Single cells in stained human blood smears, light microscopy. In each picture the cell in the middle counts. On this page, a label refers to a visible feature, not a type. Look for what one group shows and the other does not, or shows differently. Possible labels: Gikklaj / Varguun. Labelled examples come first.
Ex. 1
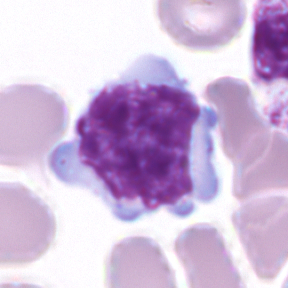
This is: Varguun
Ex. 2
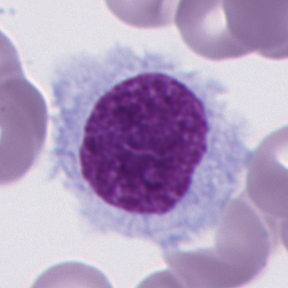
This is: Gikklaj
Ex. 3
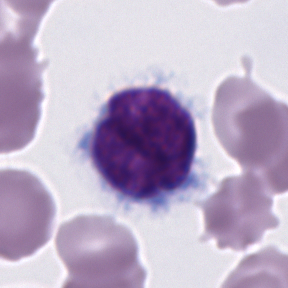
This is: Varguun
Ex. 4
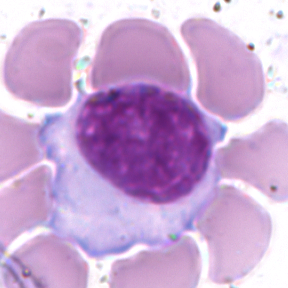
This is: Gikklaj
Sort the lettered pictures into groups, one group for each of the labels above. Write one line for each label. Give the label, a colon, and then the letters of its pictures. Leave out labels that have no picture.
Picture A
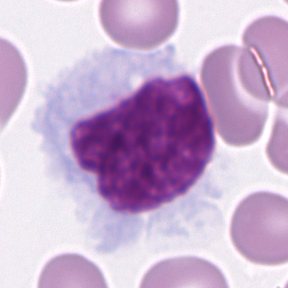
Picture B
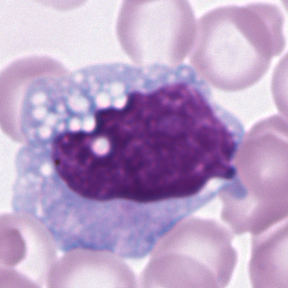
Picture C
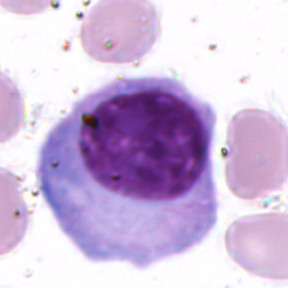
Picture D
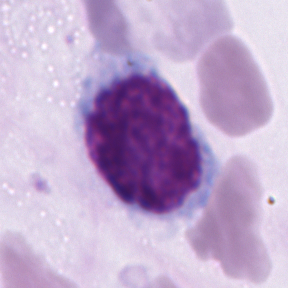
Gikklaj: A, B, C
Varguun: D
